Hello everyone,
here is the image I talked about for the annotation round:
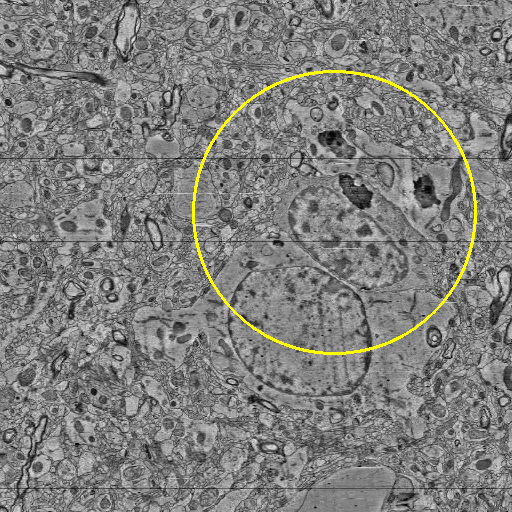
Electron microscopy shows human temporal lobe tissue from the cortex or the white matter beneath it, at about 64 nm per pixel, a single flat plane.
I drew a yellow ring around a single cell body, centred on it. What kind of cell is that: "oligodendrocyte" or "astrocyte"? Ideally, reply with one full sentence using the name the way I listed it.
The cell your yellow ring is centred on is an oligodendrocyte, going by your list.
